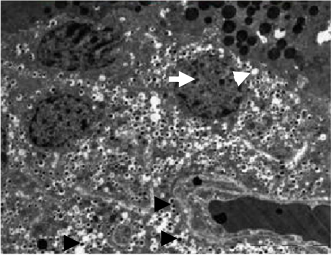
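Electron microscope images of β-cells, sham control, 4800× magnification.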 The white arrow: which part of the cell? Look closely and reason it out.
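Nucleus. The arrow points at a large round body with a bounding envelope. The body contains clumped dark chromatin.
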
